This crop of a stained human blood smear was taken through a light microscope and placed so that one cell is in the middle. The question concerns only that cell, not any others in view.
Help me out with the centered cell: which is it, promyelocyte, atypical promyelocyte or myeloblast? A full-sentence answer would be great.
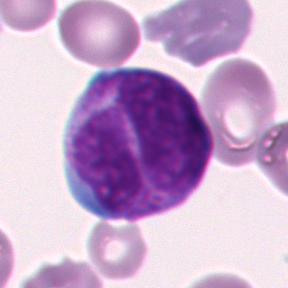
Here the cell in the middle is an atypical promyelocyte.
